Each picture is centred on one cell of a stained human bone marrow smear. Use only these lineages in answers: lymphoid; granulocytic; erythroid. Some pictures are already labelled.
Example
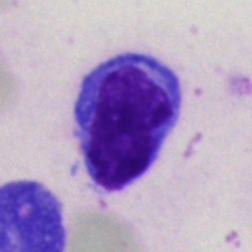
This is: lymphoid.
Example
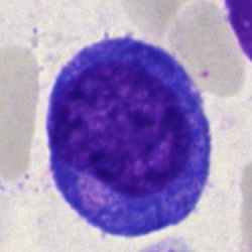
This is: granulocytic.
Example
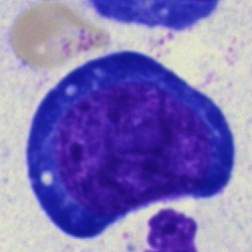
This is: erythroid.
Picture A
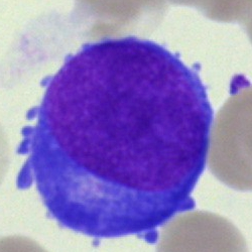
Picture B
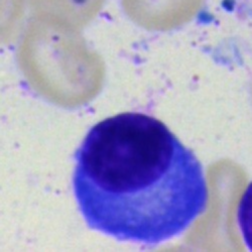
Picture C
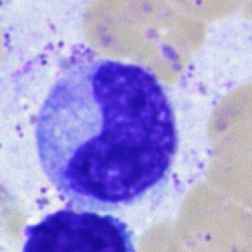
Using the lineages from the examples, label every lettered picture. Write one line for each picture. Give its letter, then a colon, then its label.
A: erythroid.
B: lymphoid.
C: granulocytic.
